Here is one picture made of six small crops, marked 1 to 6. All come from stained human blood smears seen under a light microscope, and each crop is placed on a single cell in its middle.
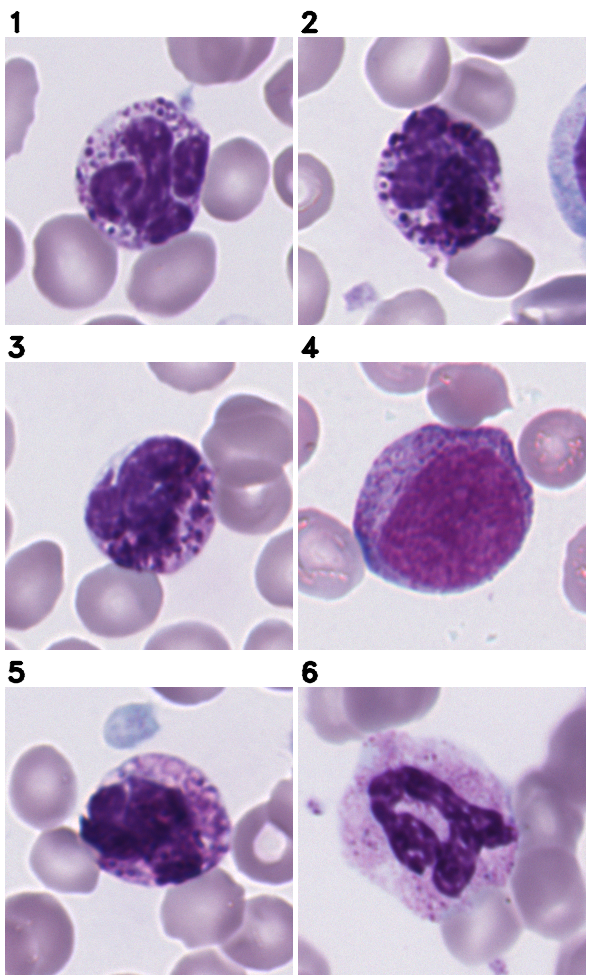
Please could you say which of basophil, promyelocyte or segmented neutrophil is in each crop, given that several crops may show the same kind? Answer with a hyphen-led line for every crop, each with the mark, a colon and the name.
- 1: basophil
- 2: basophil
- 3: basophil
- 4: promyelocyte
- 5: basophil
- 6: segmented neutrophil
